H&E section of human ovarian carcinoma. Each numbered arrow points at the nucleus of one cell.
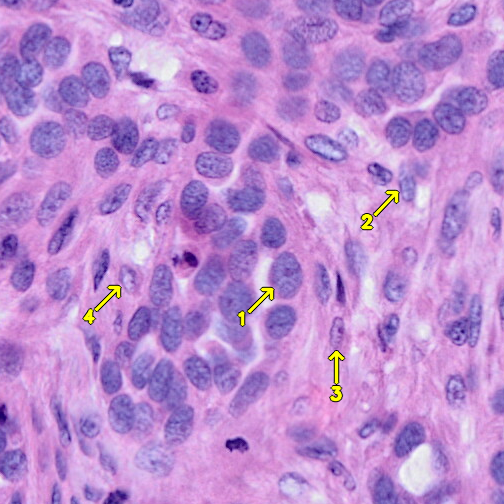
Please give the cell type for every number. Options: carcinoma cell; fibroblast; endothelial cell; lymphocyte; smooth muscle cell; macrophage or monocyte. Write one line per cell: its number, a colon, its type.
1: carcinoma cell
2: fibroblast
3: fibroblast
4: fibroblast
